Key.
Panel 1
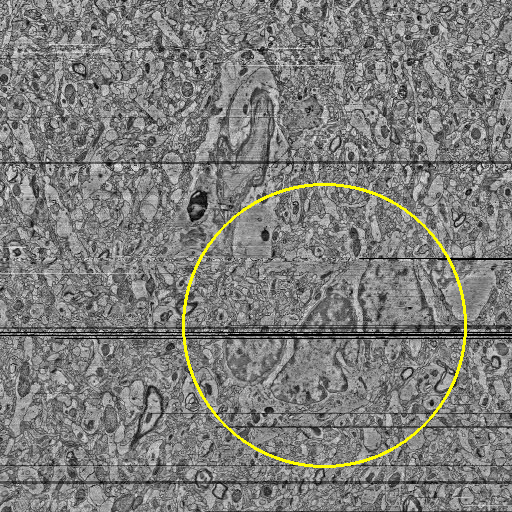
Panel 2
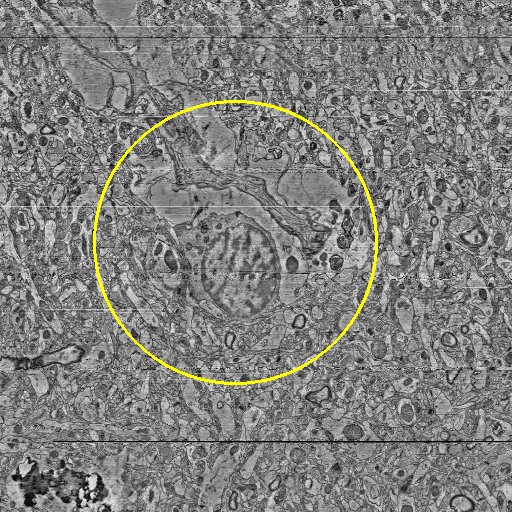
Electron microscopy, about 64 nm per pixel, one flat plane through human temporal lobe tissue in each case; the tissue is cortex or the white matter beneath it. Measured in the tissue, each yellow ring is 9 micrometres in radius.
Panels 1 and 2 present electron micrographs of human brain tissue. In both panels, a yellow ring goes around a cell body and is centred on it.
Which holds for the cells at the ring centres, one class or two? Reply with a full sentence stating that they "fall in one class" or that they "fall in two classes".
Taken together, the ring-centre cells of the two panels fall in one class.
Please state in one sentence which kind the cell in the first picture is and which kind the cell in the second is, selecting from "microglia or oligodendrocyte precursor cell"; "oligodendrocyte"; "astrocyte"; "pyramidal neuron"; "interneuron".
The second cell is an oligodendrocyte, just as the first is.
